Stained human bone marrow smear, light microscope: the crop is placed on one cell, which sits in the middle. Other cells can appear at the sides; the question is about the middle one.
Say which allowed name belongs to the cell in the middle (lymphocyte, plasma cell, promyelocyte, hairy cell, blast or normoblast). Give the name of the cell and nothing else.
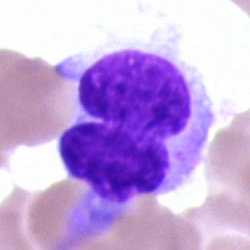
hairy cell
